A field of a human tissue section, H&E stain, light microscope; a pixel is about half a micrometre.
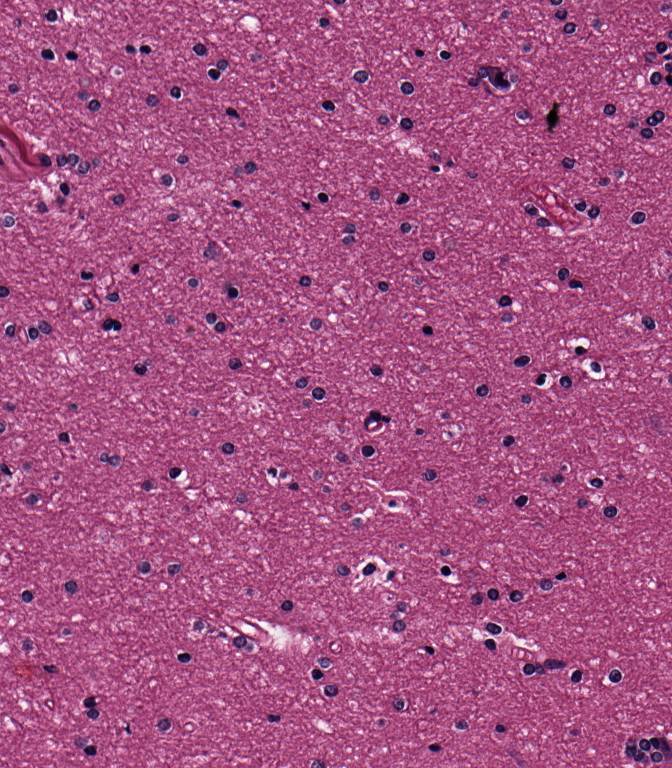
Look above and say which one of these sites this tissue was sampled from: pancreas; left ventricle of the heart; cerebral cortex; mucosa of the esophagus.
cerebral cortex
